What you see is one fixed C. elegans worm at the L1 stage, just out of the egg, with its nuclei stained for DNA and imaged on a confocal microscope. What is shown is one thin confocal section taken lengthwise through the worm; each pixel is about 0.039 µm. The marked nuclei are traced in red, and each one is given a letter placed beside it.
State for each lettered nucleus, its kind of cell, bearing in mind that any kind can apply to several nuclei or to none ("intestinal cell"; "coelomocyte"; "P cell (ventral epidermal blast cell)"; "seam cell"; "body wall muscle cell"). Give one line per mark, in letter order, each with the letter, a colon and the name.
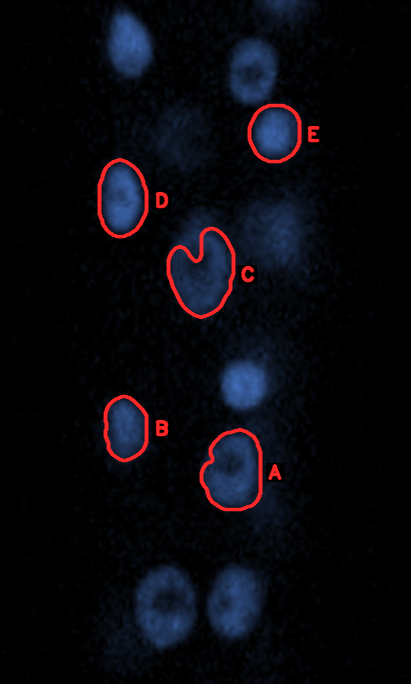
A: seam cell
B: body wall muscle cell
C: intestinal cell
D: body wall muscle cell
E: coelomocyte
